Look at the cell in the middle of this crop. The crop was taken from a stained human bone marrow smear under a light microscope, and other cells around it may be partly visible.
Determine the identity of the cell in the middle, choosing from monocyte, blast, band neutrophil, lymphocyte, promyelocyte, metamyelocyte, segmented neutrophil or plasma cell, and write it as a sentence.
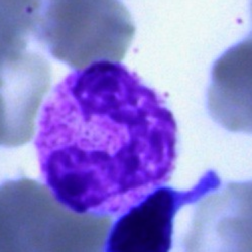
The cell featured at the centre of this crop is a band neutrophil.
